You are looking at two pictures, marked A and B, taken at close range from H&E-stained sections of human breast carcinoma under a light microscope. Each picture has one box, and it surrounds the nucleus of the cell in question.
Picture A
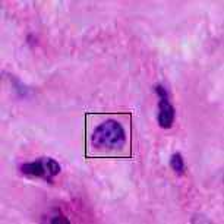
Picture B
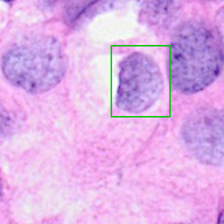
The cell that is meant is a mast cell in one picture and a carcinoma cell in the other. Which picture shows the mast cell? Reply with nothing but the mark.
A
